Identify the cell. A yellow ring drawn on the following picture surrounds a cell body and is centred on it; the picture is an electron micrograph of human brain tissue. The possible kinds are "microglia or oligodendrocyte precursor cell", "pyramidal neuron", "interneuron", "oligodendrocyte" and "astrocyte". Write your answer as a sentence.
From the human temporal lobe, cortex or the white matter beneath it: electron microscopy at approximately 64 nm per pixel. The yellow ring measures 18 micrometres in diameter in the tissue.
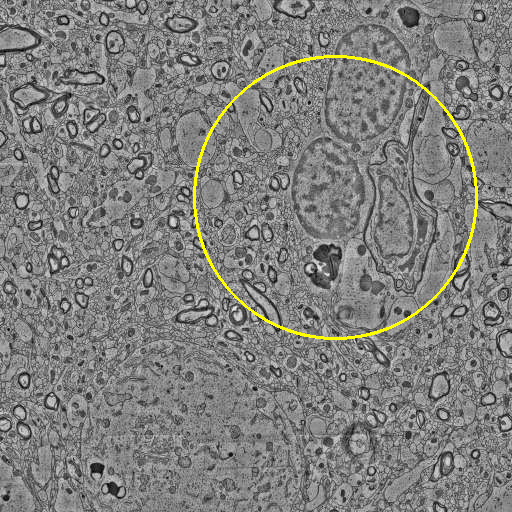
The cell identified by the ring is an oligodendrocyte.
